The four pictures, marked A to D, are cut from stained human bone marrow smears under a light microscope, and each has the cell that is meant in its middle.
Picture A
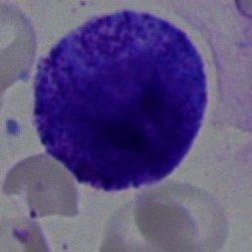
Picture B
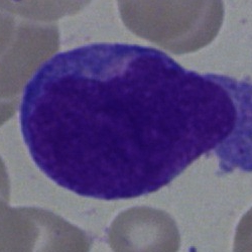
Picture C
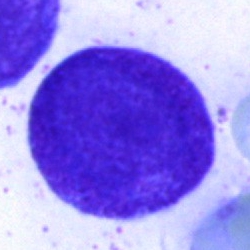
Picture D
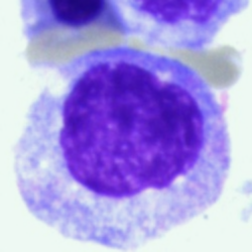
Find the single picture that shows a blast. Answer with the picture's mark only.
B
